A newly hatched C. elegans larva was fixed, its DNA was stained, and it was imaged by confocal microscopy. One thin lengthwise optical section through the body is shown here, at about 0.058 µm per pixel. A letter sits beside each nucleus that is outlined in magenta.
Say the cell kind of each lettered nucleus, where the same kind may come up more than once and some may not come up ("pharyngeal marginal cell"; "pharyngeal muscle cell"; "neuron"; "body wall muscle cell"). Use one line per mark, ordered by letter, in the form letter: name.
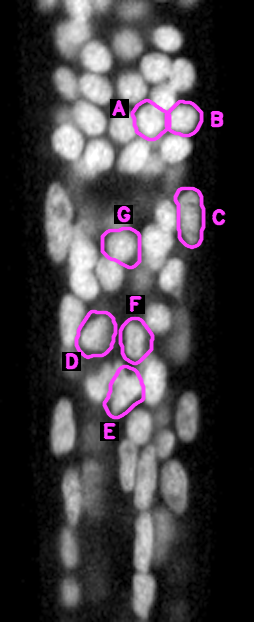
A: neuron
B: neuron
C: body wall muscle cell
D: pharyngeal muscle cell
E: pharyngeal muscle cell
F: pharyngeal muscle cell
G: neuron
